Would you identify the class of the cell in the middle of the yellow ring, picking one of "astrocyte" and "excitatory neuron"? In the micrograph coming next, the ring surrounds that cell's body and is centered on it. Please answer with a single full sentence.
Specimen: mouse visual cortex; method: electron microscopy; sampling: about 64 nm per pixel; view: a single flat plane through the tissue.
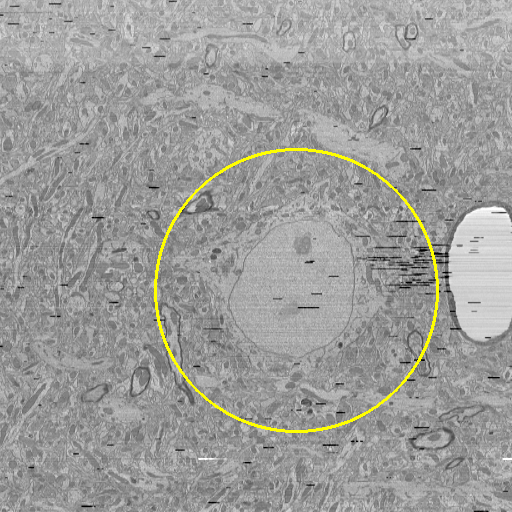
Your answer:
In the micrograph, it is an excitatory neuron whose body lies at the ring's center.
